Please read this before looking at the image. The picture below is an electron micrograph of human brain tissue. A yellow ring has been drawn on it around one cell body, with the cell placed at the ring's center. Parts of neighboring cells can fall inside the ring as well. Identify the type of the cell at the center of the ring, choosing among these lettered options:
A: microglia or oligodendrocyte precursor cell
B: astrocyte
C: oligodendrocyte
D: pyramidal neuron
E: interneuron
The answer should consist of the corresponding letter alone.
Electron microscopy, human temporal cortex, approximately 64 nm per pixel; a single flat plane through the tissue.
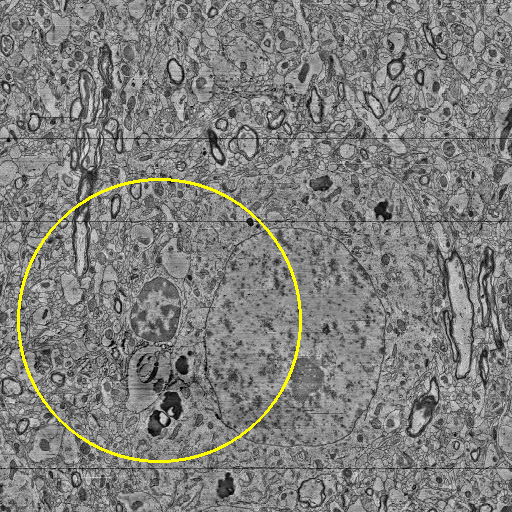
A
